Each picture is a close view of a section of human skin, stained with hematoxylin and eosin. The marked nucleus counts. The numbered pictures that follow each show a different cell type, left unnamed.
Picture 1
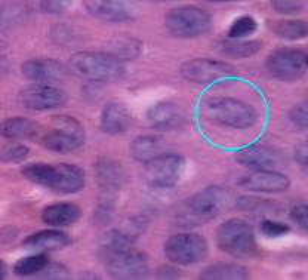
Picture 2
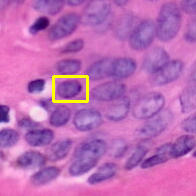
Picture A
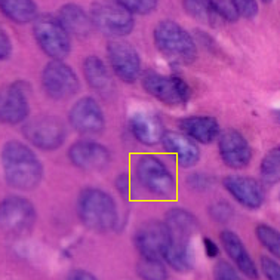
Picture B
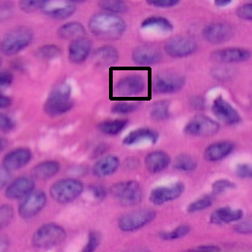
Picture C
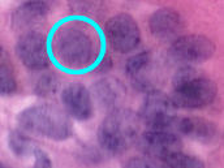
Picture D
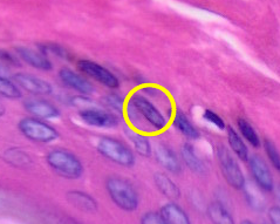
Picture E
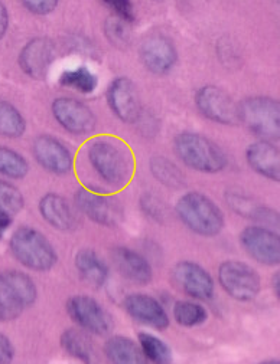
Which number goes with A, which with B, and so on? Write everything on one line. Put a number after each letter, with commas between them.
A 1, B 2, C 2, D 2, E 1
